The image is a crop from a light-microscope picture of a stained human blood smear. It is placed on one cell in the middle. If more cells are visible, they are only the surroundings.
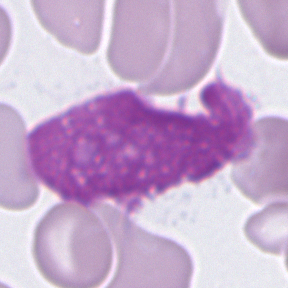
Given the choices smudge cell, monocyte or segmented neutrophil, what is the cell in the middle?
smudge cell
